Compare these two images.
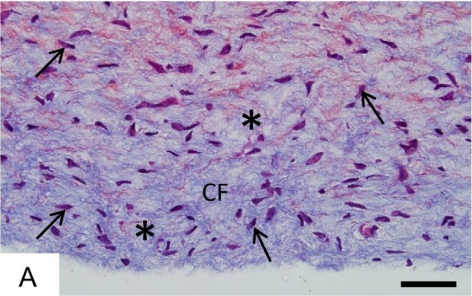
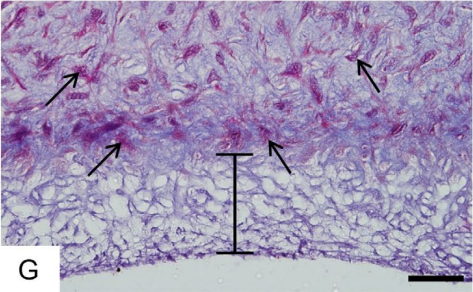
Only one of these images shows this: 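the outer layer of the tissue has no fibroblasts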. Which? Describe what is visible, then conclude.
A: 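The second image. Second image: the lower, outer band is a pale open meshwork without any nuclei. First image: spindle-shaped dark nuclei are scattered right down to the lower edge.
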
